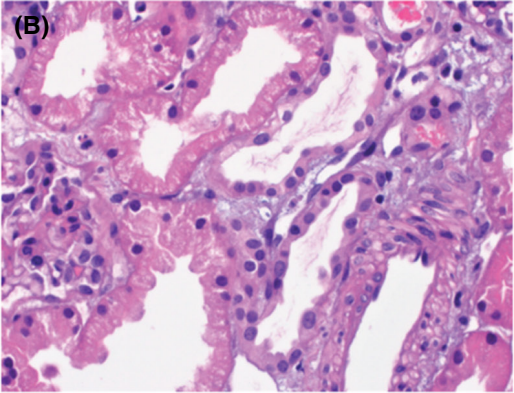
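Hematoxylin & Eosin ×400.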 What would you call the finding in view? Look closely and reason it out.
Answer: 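Flattened epithelium. The lining is much thinner than normal cuboidal tubular epithelium.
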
